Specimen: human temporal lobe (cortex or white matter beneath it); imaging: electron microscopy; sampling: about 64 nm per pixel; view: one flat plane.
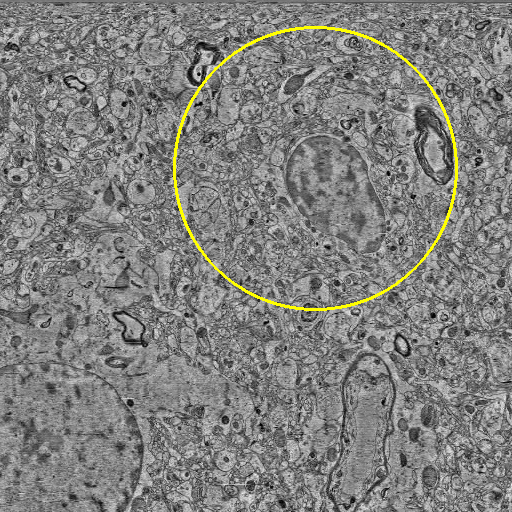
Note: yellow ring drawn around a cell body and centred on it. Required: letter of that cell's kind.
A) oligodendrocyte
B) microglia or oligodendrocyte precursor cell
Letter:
B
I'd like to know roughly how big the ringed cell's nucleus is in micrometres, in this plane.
Roughly 8 micrometres by 5 micrometres, so the nucleus is clearly longer than it is wide in this plane.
